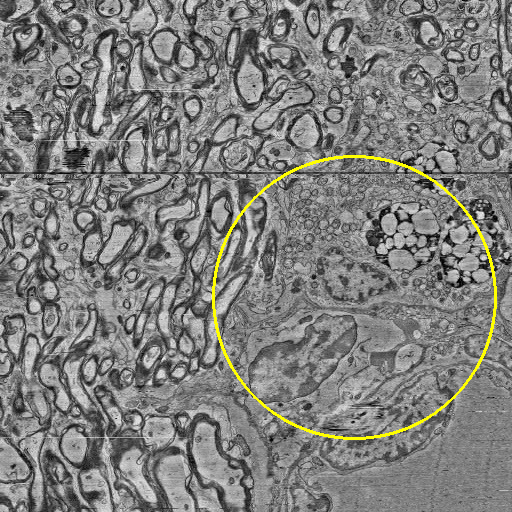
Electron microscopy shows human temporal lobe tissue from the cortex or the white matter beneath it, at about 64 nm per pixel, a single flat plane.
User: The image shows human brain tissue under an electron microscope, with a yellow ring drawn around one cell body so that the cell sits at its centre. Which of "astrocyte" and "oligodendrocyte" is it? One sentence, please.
At the centre of the ring sits an astrocyte.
